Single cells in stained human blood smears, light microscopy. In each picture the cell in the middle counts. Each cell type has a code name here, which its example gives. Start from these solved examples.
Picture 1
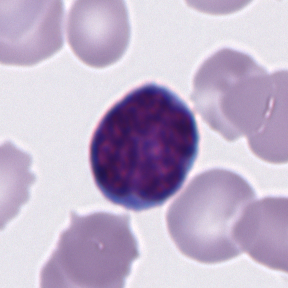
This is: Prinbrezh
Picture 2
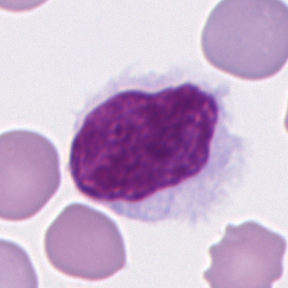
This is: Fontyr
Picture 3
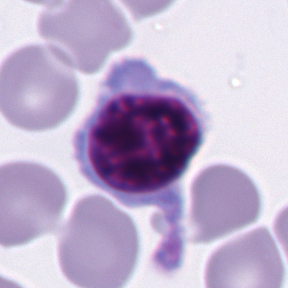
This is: Prinbrezh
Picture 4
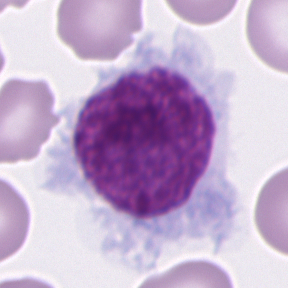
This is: Fontyr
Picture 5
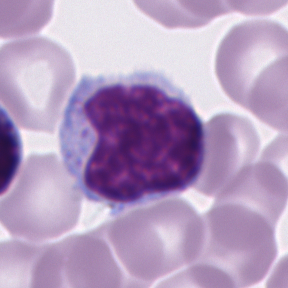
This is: Prinbrezh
